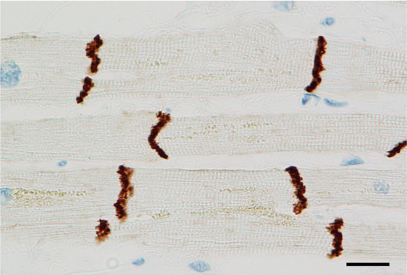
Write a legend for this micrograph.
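This is cardiac muscle cut along its length: the cardiomyocytes lie as long parallel fibers with fine cross-striations. Dark brown bands cross the fibers transversely at intervals, marking where the end of one cell meets the next, so the individual cell units can be told apart. These bands are somewhat jagged and slightly offset rather than perfectly straight. Small blue-stained nuclei lie in the narrow spaces between the fibers.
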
